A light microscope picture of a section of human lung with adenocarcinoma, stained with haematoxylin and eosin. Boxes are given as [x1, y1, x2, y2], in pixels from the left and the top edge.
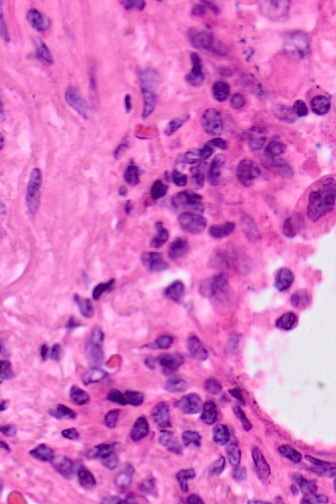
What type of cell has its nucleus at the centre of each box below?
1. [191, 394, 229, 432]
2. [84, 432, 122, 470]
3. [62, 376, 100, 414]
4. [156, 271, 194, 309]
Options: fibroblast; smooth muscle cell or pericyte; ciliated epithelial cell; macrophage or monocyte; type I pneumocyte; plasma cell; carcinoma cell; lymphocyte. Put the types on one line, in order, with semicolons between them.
plasma cell; plasma cell; lymphocyte; lymphocyte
